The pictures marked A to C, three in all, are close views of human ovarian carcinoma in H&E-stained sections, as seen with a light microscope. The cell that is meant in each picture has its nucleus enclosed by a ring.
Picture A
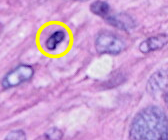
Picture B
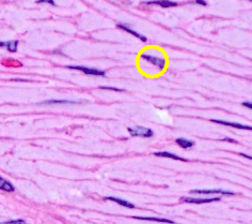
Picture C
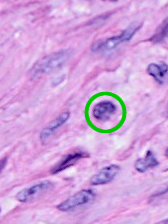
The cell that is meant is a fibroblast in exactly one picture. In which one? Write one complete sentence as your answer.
It is picture B that shows the fibroblast.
